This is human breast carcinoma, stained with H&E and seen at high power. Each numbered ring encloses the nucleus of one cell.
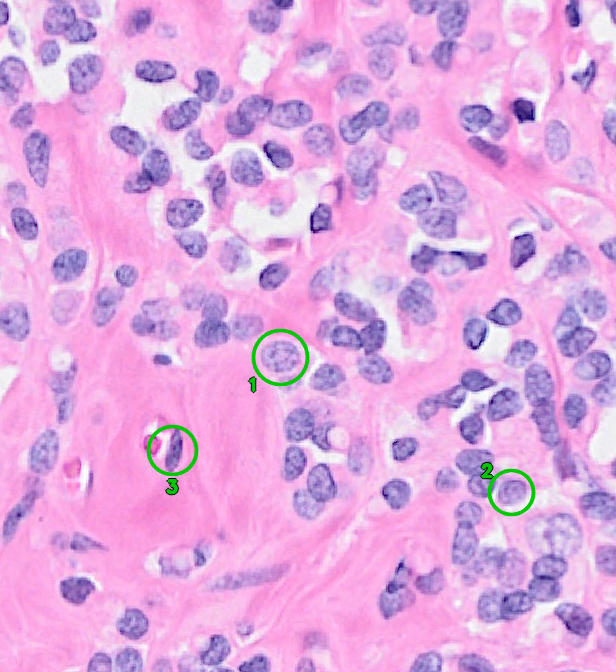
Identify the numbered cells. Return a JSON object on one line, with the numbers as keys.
{"1": "carcinoma cell", "2": "carcinoma cell", "3": "endothelial cell"}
